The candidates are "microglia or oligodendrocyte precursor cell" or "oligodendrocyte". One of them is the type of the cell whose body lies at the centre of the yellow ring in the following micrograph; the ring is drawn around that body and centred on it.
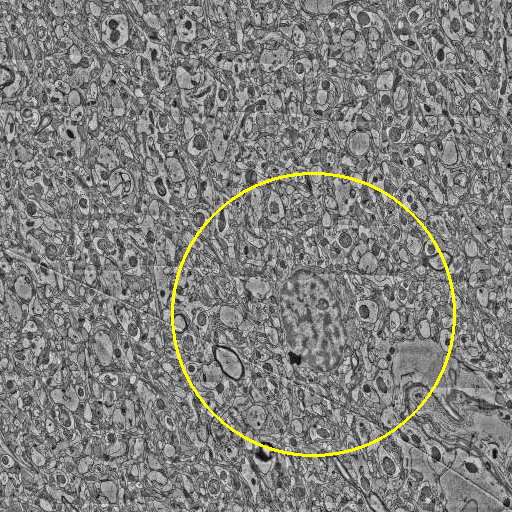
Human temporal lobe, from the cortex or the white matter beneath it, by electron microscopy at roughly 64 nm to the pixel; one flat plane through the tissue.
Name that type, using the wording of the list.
oligodendrocyte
